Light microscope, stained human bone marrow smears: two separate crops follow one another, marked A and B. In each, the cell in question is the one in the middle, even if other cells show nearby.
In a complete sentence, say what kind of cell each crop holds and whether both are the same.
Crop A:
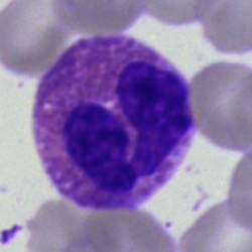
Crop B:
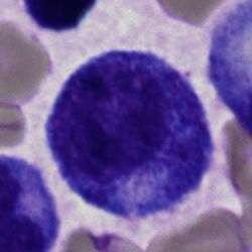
No, for crop A the cell is an eosinophil, and for crop B it is a promyelocyte.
